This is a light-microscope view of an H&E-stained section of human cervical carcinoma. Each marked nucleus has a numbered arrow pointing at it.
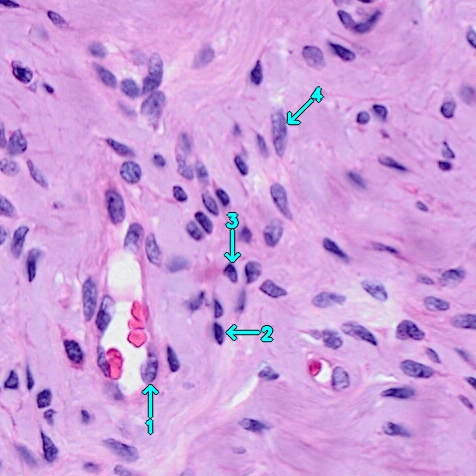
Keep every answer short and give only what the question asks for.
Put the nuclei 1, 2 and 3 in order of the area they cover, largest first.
1, 2, 3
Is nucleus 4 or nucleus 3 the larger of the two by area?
4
